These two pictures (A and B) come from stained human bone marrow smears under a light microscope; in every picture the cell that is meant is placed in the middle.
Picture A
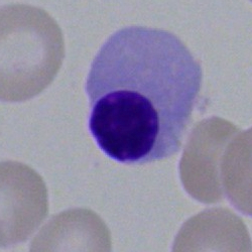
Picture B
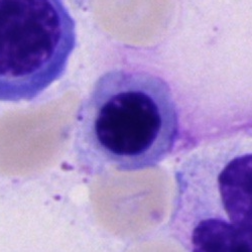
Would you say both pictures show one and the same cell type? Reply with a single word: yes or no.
yes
